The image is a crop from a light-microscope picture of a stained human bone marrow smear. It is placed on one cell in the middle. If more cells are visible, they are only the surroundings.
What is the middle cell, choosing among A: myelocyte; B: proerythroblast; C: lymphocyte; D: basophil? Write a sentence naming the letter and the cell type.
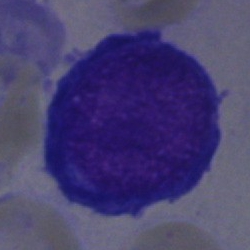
The expected answer is option B, the central cell being a proerythroblast.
